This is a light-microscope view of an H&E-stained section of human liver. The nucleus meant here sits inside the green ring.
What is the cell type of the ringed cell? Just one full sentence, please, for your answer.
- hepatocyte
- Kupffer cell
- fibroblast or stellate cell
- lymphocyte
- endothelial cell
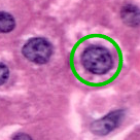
The identity of the ringed cell is that of a hepatocyte.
